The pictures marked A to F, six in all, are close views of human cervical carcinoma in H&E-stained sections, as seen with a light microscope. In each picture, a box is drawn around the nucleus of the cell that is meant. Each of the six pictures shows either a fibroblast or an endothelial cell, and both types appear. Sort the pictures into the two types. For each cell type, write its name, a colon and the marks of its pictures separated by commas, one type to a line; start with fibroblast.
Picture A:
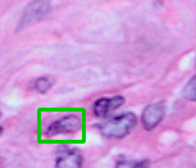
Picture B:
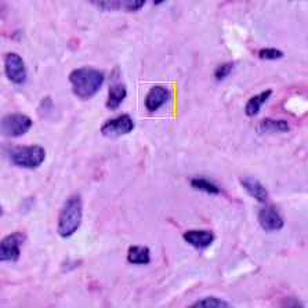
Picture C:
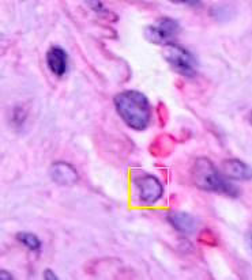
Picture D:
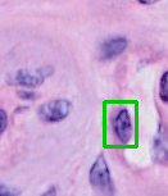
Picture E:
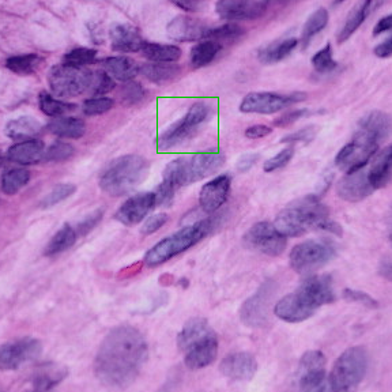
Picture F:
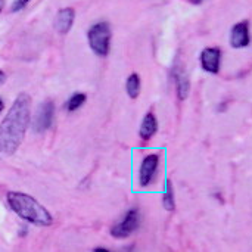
fibroblast: B, E, F
endothelial cell: A, C, D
